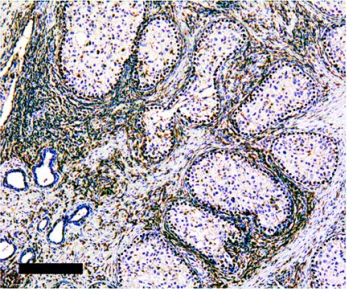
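Solid rounded nests of tumor cells with pale cytoplasm are surrounded by dotted lines and separated by bands of stroma. Small glandular profiles with clear lumina appear at the left edge.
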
